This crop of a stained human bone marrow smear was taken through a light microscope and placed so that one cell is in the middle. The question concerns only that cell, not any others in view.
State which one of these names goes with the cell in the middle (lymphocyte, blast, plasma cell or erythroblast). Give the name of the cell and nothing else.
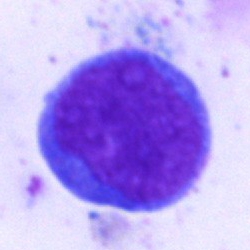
blast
